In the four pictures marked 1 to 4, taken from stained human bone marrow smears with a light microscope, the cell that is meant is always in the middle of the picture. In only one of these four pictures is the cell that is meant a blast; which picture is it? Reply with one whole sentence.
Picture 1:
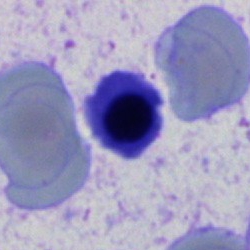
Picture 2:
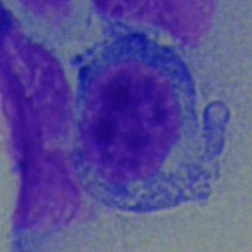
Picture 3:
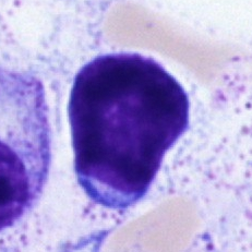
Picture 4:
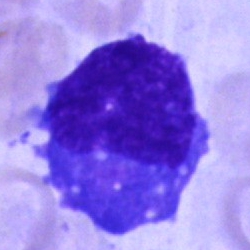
Picture 4 shows the blast.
